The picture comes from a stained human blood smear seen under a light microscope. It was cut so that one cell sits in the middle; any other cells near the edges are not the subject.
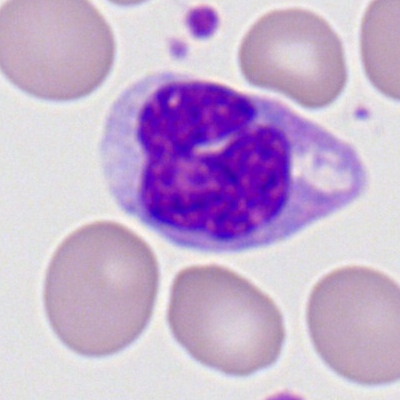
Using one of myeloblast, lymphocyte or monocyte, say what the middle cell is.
monocyte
